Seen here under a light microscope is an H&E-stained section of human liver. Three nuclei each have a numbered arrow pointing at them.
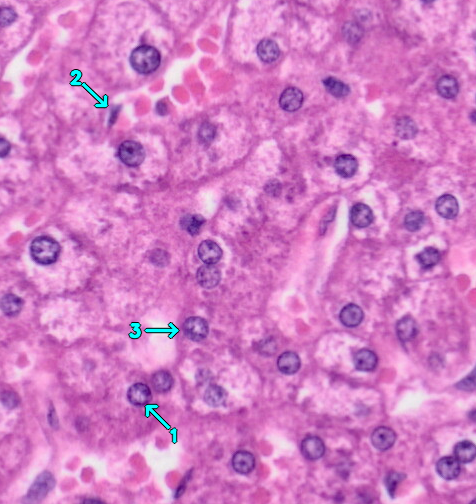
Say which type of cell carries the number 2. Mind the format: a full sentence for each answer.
Cell 2, as marked in the section, is an endothelial cell.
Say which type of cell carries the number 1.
The cell given label 1 is a hepatocyte.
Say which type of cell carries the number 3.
Classified as a hepatocyte is the cell with the number 3.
